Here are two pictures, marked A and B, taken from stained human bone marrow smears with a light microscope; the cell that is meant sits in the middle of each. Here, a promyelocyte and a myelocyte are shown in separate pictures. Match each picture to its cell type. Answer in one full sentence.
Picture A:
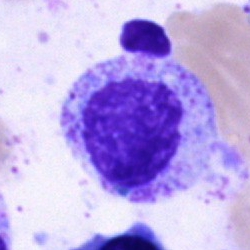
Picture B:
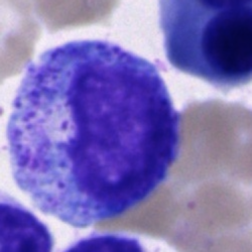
Picture A shows a myelocyte and picture B shows a promyelocyte.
